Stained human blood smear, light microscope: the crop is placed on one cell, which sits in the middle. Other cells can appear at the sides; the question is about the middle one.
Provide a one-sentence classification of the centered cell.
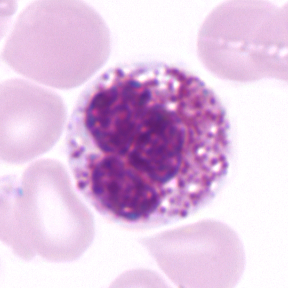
The cell nearest the centre of this crop is an eosinophil.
